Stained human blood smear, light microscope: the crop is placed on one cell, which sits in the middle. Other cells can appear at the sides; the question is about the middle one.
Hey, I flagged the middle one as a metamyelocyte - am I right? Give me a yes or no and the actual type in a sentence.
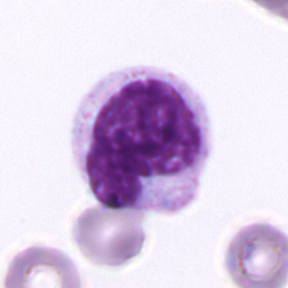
No, the cell in the middle of the field is a band neutrophil, not a metamyelocyte as suggested.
